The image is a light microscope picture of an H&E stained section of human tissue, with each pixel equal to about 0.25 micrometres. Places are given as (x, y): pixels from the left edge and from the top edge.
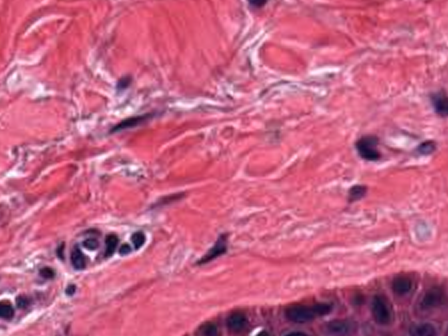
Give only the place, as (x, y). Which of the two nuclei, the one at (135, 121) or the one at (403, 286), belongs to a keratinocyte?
(403, 286)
